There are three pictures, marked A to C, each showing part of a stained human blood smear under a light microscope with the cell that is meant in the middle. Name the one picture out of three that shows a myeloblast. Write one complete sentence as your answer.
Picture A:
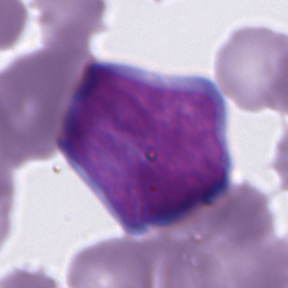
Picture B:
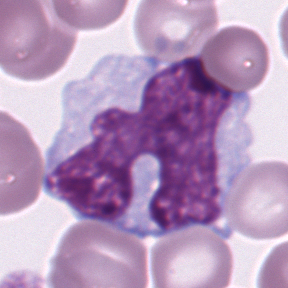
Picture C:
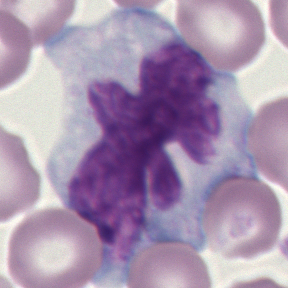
Picture A shows the myeloblast.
